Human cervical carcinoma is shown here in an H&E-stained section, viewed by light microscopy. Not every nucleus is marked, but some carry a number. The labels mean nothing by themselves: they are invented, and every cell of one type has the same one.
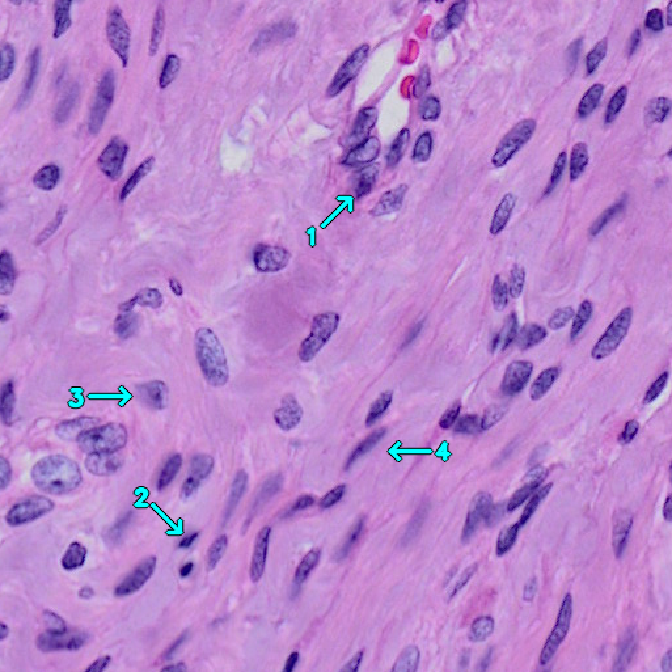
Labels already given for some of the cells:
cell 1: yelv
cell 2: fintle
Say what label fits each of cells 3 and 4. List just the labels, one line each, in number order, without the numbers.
fintle
fintle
